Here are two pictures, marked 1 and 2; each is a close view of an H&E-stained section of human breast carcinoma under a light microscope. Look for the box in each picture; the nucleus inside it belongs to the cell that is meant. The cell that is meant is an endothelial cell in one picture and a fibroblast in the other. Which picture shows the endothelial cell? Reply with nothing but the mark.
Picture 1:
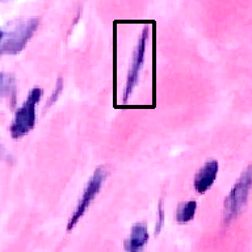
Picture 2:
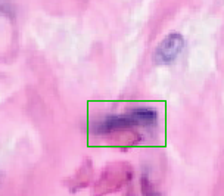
2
